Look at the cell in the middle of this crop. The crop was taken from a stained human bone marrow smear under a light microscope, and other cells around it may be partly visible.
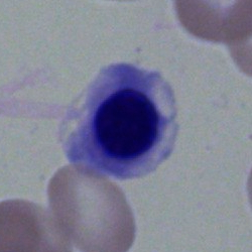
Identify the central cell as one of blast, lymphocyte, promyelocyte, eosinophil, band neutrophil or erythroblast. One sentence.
Looking at the middle of the crop, the cell there is an erythroblast.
